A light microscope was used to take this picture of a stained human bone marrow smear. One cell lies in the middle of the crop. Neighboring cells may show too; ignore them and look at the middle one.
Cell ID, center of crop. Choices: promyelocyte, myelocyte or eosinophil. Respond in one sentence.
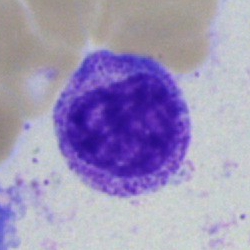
This crop has a myelocyte at its centre.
